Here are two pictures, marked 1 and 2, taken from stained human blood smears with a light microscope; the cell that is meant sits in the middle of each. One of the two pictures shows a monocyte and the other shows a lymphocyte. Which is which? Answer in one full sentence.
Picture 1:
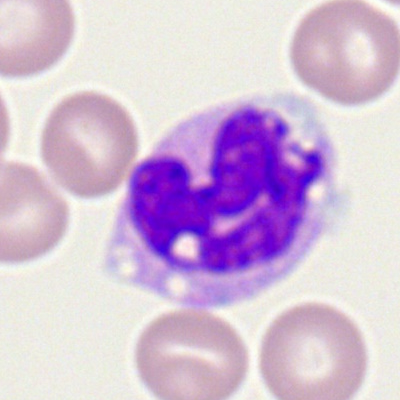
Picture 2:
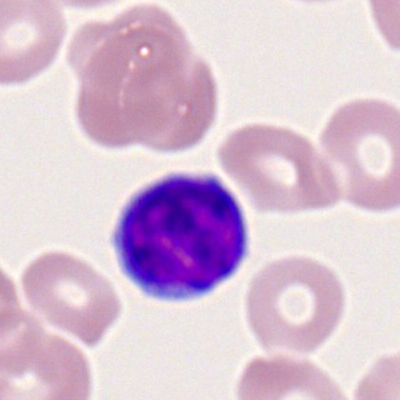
It is picture 1 that shows a monocyte, and picture 2 that shows a lymphocyte.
